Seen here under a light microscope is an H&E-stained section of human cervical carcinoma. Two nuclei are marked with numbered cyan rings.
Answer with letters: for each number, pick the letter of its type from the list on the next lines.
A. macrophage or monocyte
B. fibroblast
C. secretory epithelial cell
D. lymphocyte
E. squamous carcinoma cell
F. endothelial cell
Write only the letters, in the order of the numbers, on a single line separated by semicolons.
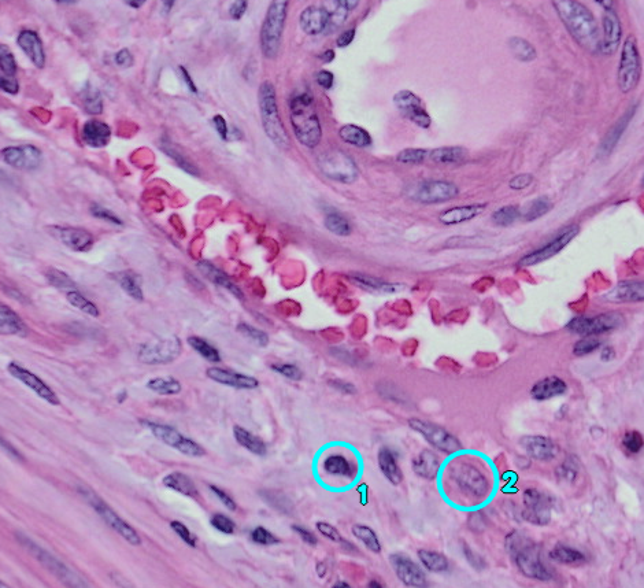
D; F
